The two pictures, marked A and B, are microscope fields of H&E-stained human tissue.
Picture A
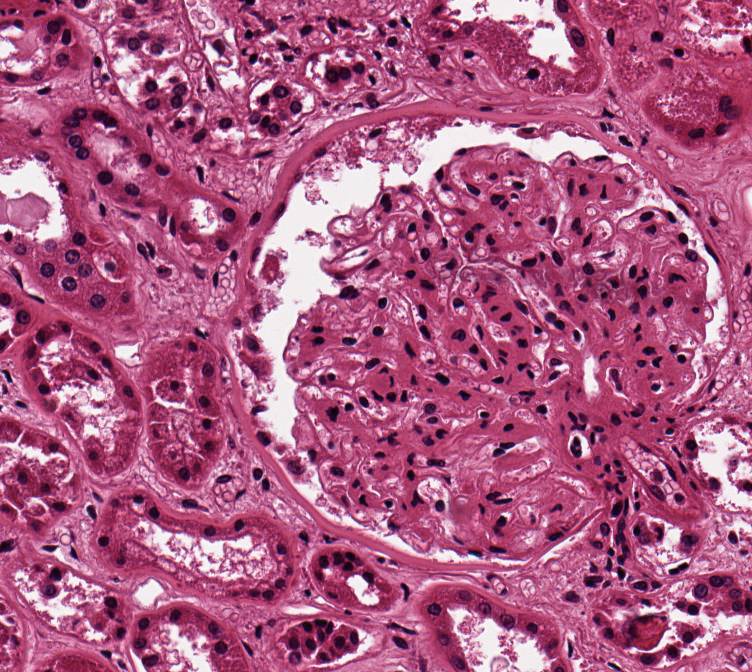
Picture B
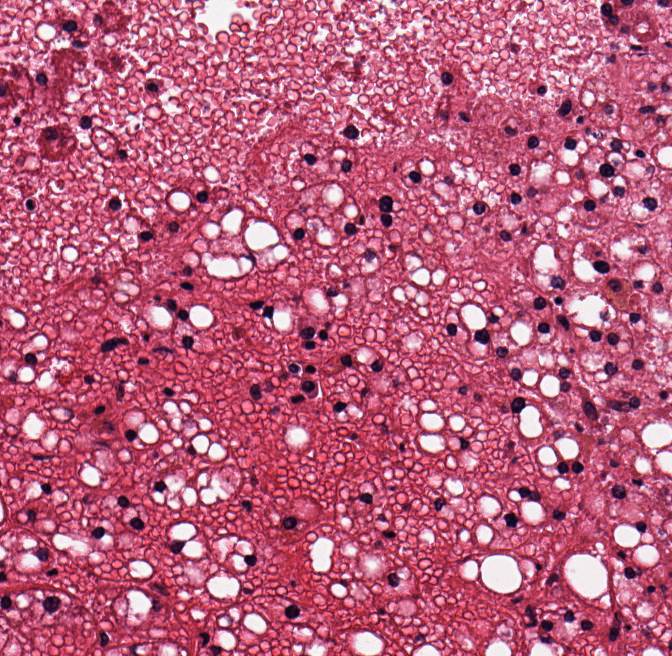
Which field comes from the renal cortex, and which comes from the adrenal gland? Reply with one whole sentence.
Picture A comes from the renal cortex and picture B comes from the adrenal gland.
